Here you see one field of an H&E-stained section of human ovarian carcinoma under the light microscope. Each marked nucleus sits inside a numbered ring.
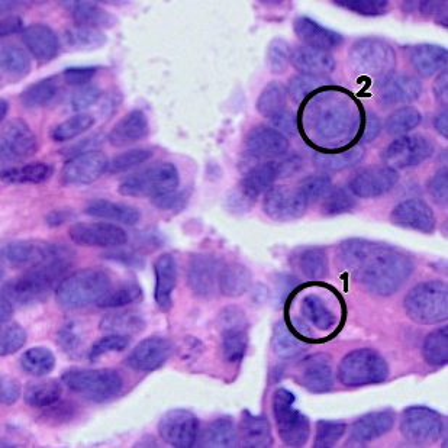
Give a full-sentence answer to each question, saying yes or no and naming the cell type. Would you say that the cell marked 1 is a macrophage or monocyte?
Yes, the cell that number 1 points to is a macrophage or monocyte.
